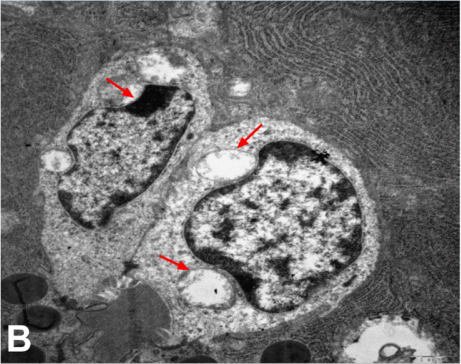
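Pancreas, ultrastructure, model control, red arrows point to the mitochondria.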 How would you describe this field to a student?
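Two pancreatic cells with irregular, indented nuclei are seen, each nucleus bearing dense clumps of heterochromatin along its margin. Their cytoplasm is pale and contains several large clear, swollen spaces with little internal structure, some pressing against the nucleus. Around them, neighbouring cytoplasm shows stacked parallel membranes and dense round granules. The pale, vacuolated appearance of these cells contrasts with the denser cytoplasm around them.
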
